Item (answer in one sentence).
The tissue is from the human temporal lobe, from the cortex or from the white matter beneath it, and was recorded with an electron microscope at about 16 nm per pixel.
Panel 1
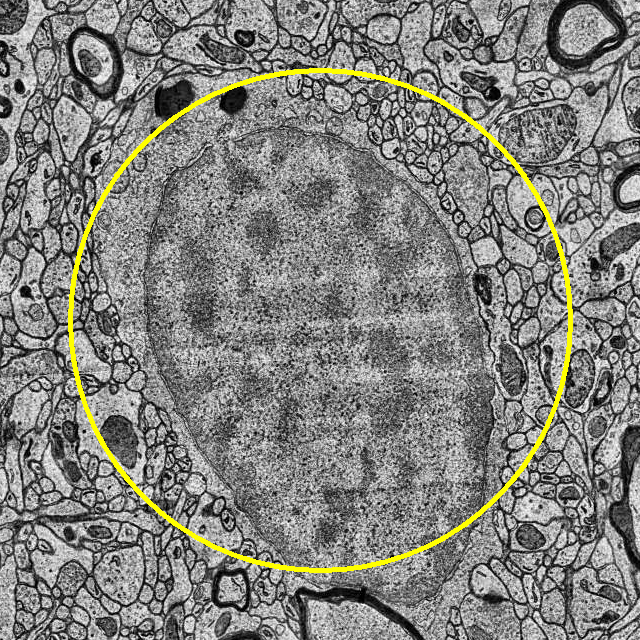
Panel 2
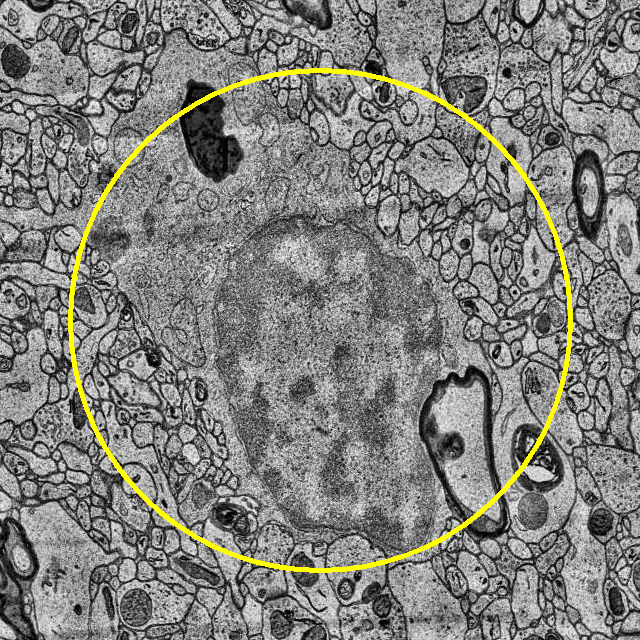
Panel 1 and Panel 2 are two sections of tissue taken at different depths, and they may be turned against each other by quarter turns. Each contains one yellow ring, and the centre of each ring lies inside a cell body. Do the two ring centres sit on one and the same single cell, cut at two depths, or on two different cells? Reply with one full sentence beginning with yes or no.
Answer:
Yes, the second ring marks the same cell as the first.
